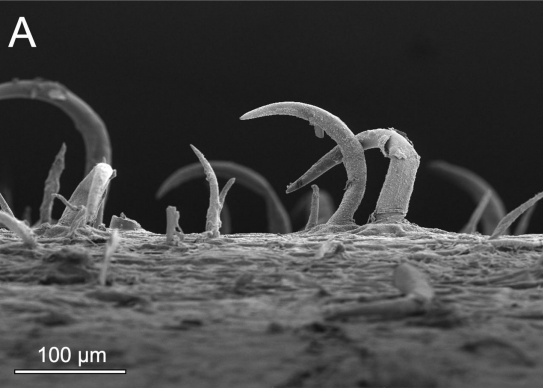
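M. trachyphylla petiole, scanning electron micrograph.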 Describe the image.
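The trichomes are slender, unbranched hairs that rise from a rough, finely wrinkled surface. Several bend strongly at their upper end, so that the tip curves back down into a hook. Shorter, straighter hairs stand among the hooked ones.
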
